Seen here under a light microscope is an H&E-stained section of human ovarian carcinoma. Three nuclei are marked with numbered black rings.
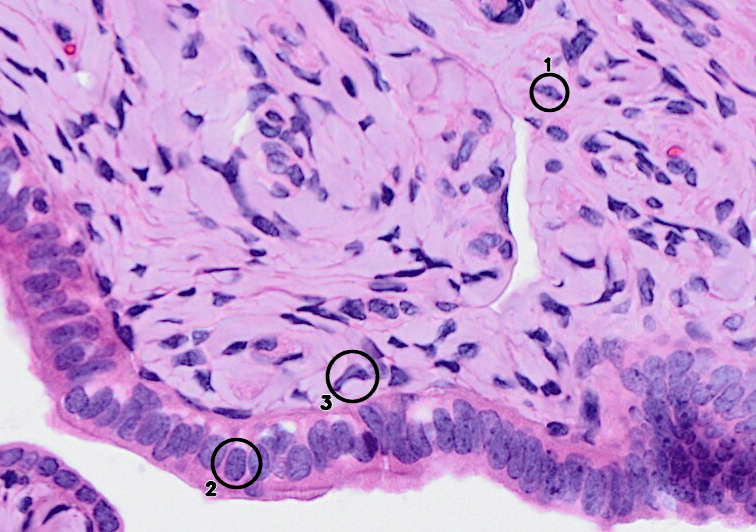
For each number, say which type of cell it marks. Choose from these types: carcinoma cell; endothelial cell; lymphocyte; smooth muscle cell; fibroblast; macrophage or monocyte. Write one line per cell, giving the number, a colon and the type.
1: smooth muscle cell
2: carcinoma cell
3: fibroblast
